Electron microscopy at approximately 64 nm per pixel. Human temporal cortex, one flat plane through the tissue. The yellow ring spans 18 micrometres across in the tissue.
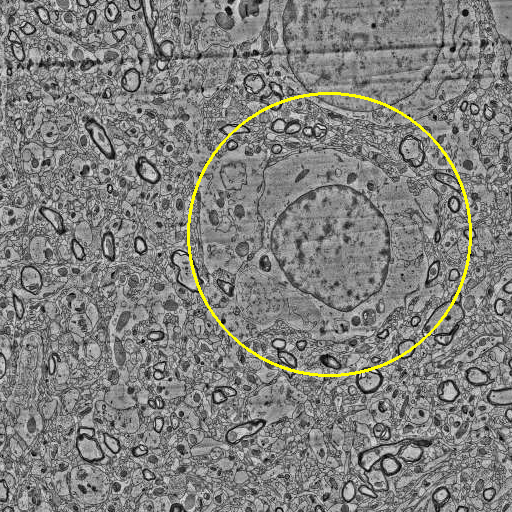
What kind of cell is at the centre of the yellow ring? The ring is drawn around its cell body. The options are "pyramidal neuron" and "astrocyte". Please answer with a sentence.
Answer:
The yellow ring marks the cell body of an astrocyte.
